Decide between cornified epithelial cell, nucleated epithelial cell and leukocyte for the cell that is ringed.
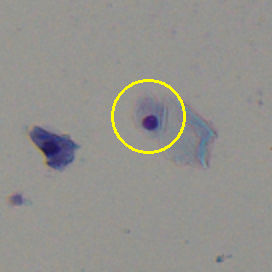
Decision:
I take the ringed cell for a nucleated epithelial cell.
